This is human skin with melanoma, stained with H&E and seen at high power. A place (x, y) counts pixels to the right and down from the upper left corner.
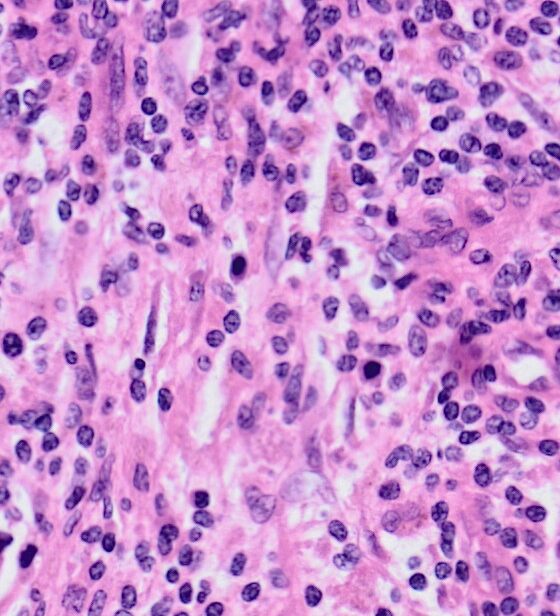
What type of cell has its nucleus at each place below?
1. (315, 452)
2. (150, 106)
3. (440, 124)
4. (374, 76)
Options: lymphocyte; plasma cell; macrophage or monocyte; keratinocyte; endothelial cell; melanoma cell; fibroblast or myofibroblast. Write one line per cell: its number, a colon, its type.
1: fibroblast or myofibroblast
2: lymphocyte
3: lymphocyte
4: lymphocyte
